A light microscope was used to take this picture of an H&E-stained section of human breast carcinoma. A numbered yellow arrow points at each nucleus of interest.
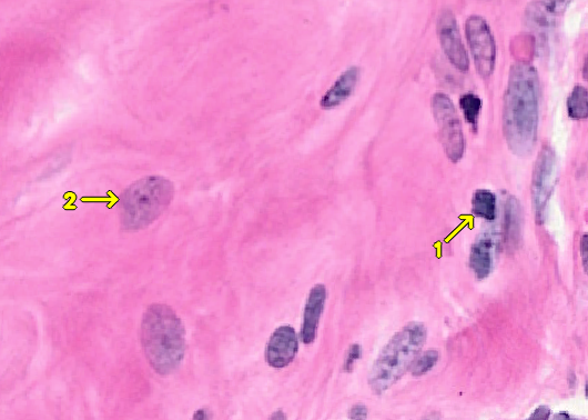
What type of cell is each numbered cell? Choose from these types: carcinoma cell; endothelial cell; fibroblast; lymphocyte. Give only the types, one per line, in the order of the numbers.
lymphocyte
fibroblast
